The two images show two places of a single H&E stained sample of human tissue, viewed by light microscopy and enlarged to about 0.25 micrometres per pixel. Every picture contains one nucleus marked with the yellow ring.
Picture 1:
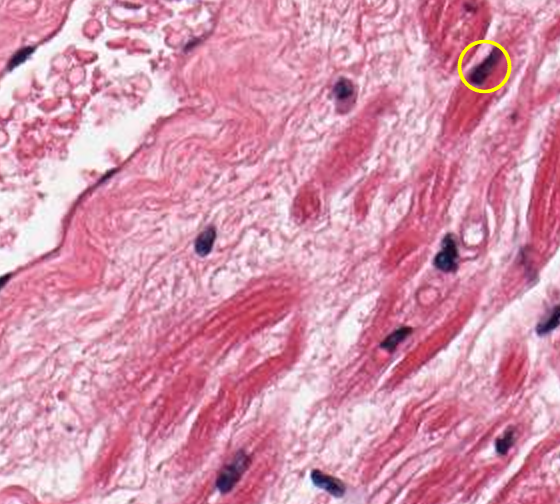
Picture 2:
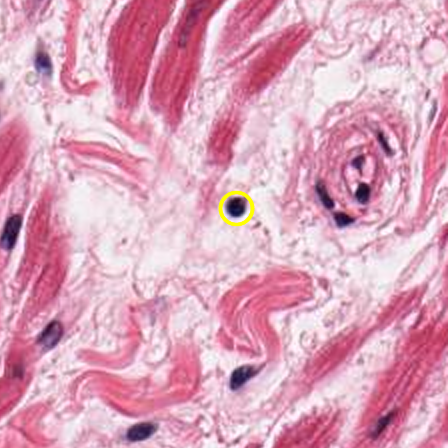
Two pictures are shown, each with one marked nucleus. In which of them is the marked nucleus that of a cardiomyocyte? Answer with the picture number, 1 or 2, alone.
1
